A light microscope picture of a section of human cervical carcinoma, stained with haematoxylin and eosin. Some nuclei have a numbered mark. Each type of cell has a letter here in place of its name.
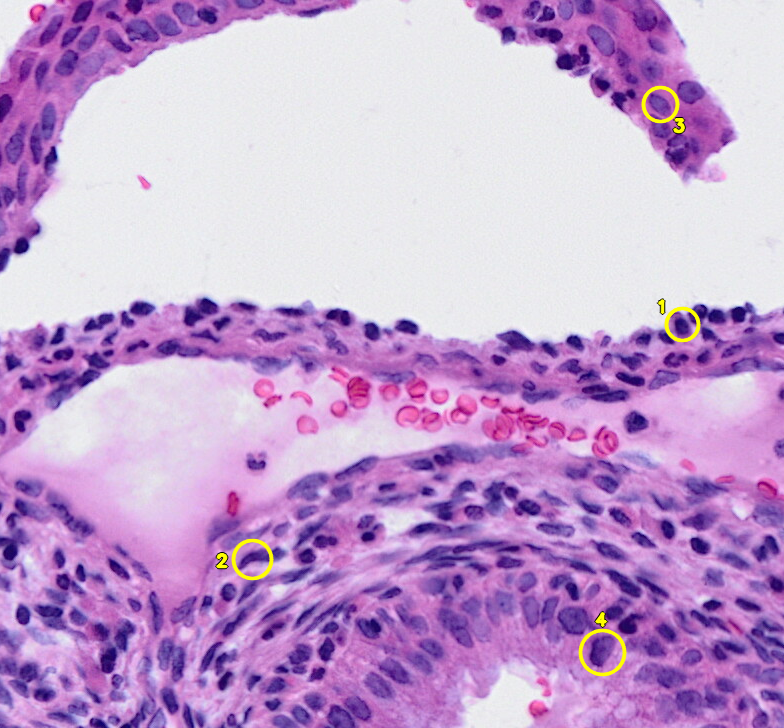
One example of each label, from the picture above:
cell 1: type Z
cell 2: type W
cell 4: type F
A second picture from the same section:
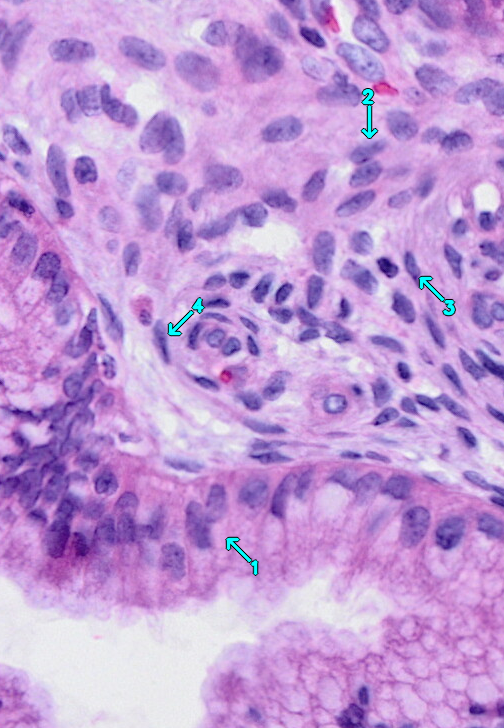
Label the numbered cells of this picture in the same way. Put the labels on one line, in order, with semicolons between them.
type F; type W; type W; type W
